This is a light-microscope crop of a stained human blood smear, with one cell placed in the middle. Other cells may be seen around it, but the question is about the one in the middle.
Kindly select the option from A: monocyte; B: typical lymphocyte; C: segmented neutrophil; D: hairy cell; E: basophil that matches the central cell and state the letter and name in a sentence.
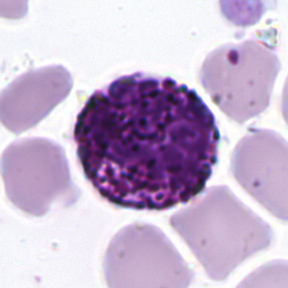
The central cell is a basophil, which makes option E the right answer.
